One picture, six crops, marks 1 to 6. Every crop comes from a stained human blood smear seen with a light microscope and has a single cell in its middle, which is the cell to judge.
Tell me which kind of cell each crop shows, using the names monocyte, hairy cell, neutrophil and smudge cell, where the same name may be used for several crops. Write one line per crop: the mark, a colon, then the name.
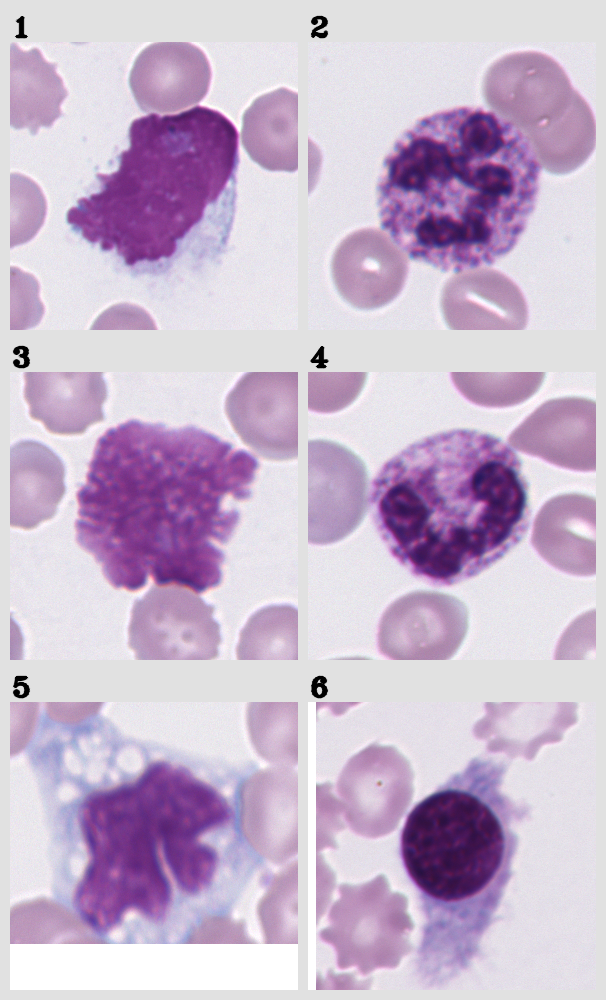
1: smudge cell
2: neutrophil
3: smudge cell
4: neutrophil
5: monocyte
6: hairy cell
